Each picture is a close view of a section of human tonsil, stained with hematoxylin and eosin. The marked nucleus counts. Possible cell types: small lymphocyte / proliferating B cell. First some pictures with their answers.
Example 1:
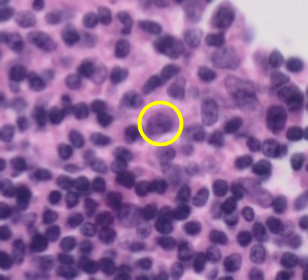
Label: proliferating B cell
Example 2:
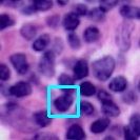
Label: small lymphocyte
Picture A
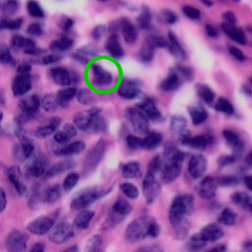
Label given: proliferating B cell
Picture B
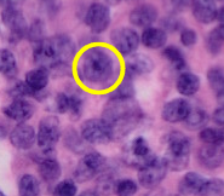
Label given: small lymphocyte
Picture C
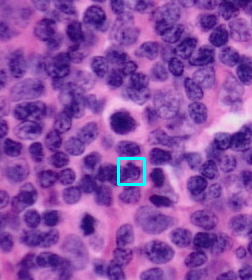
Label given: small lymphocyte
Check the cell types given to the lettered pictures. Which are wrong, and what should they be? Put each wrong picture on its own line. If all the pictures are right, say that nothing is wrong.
B should be proliferating B cell, not small lymphocyte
